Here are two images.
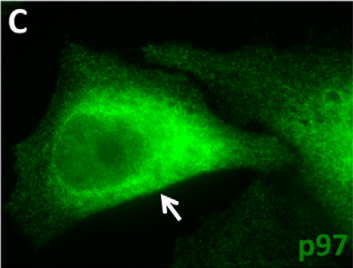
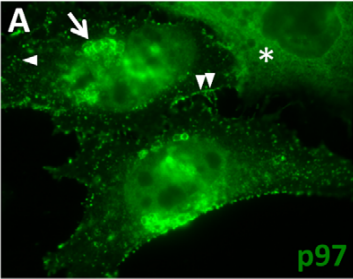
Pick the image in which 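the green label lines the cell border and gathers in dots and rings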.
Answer: the second image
